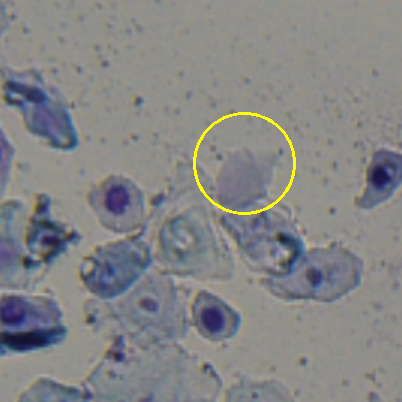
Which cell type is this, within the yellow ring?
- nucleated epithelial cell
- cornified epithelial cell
Within the ring is a cornified epithelial cell.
